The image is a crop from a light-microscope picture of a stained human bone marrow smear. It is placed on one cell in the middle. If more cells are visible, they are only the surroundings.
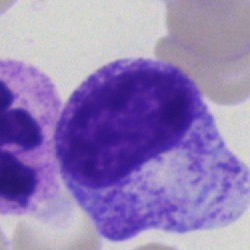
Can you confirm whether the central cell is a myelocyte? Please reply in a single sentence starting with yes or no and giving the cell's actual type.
Yes, the cell sitting in the middle of this smear crop is a myelocyte.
